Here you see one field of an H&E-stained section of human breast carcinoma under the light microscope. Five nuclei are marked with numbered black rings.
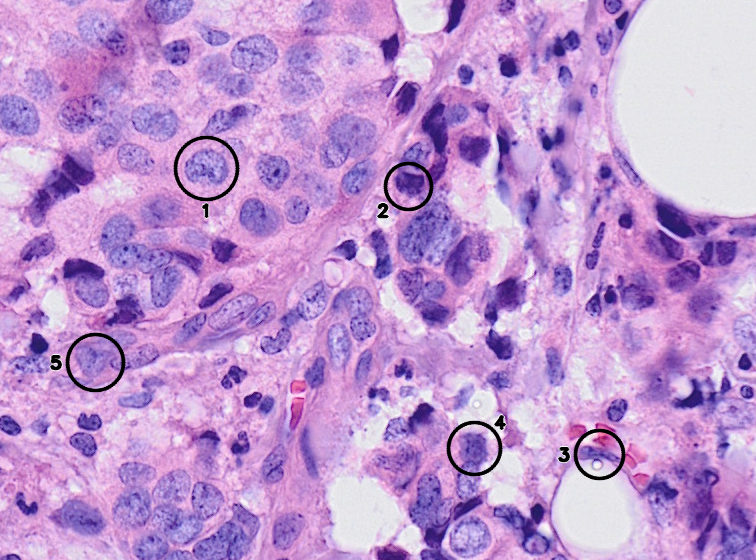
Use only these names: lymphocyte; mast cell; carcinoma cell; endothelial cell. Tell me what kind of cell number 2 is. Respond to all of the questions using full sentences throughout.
In this section, the cell numbered 2 is a carcinoma cell.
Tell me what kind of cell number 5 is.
The cell referred to as 5 is an endothelial cell.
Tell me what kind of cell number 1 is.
Corresponding to a carcinoma cell is the cell labelled 1.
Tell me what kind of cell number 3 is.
Cell 3 of the marked set is an endothelial cell.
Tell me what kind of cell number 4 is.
Here the cell numbered 4 is a carcinoma cell.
